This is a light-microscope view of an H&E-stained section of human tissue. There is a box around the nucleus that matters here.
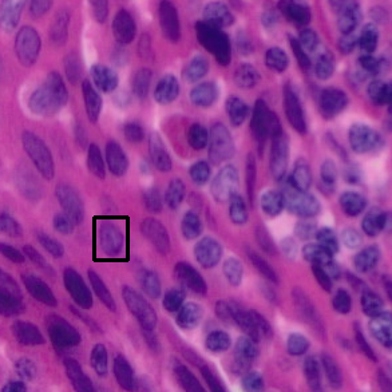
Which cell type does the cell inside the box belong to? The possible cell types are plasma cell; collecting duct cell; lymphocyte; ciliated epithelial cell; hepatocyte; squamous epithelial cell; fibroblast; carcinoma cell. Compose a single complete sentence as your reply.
For cell typing purposes, the cell inside the box is a squamous epithelial cell.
